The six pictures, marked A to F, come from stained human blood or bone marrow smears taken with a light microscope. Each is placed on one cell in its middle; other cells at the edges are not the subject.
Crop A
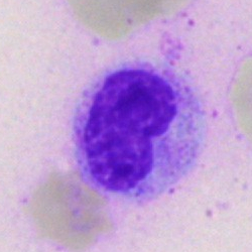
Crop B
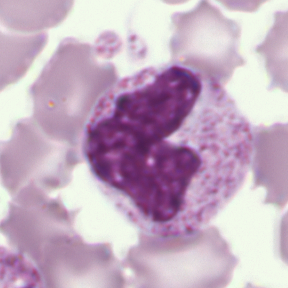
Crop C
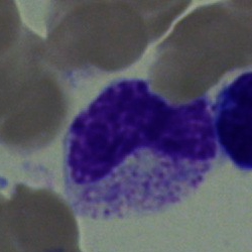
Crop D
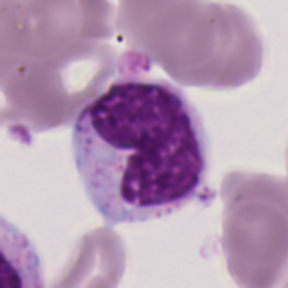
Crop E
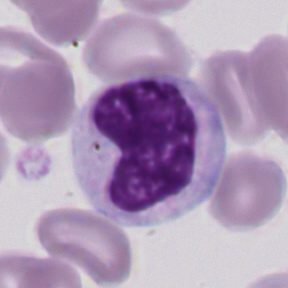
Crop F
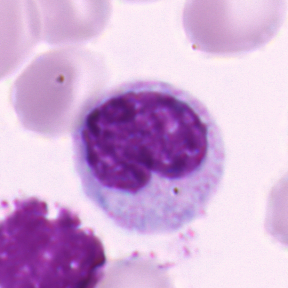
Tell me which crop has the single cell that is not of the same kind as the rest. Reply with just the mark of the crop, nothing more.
B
